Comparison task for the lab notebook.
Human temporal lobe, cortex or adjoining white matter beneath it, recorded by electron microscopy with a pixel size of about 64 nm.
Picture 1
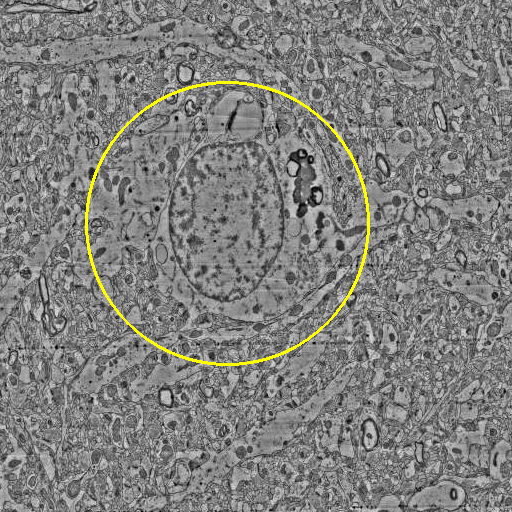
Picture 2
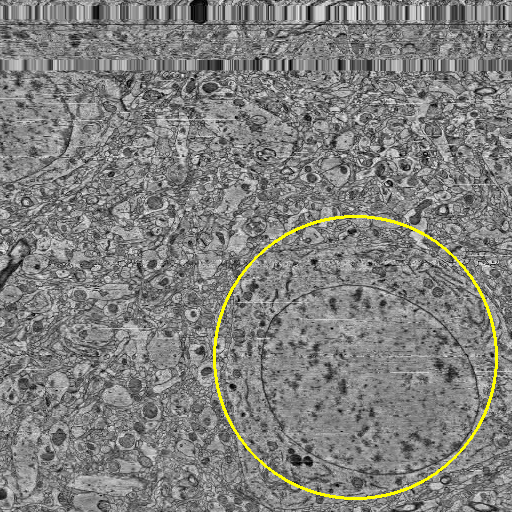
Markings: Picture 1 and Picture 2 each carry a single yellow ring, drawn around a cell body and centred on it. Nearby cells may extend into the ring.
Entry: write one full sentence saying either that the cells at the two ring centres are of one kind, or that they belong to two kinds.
The cells sitting at the ring centres in Picture 1 and Picture 2 belong to two kinds.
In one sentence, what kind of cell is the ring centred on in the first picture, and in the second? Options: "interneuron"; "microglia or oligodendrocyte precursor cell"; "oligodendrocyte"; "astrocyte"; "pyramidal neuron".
The cell at the centre of the second ring is a pyramidal neuron; the first ring's cell is an astrocyte.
